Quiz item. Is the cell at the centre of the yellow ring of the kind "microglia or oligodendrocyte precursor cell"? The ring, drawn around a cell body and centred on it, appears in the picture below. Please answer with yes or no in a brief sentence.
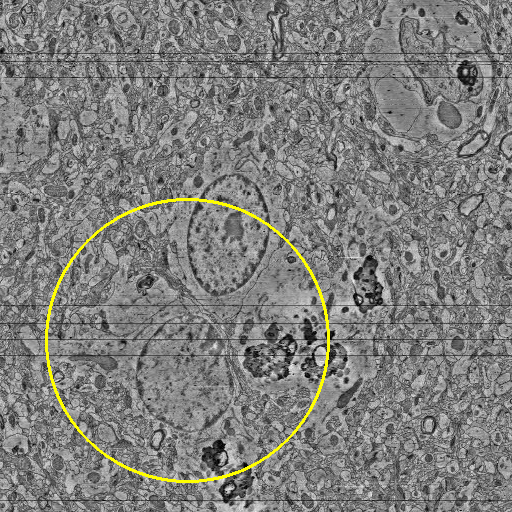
No, it is another kind of cell.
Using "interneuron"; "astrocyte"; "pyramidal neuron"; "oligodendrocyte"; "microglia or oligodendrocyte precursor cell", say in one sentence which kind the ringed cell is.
Instead, the ringed cell here is an astrocyte.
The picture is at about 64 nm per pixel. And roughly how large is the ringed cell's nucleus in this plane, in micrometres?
Approximately 7 micrometres across in this plane.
